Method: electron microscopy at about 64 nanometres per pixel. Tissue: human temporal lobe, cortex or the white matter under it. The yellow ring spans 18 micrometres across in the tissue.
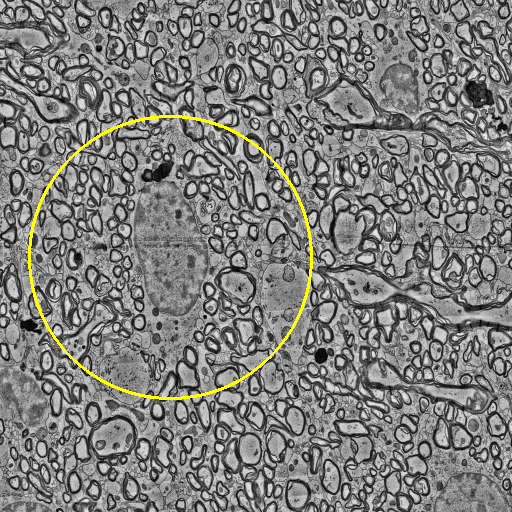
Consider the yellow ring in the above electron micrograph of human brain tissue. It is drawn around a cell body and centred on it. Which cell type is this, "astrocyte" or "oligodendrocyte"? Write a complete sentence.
The cell in question is an oligodendrocyte.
